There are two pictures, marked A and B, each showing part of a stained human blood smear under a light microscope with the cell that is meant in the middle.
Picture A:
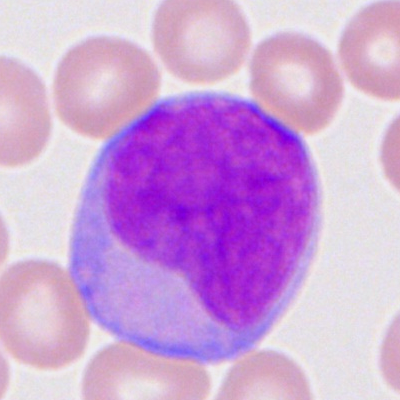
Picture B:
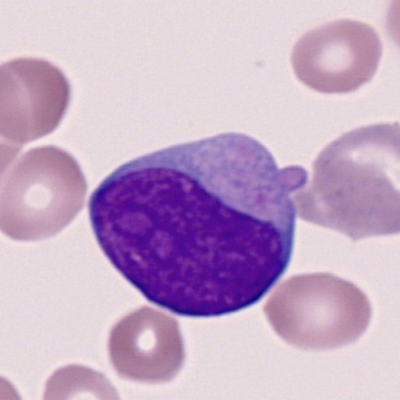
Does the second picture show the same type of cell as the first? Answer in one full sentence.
Yes, the two pictures both show myeloblasts.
